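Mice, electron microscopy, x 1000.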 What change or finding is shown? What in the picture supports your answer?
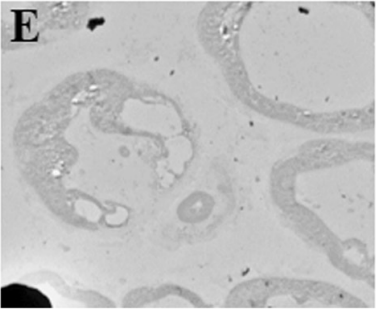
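Abnormal myelination. One sheath is irregular and folded, with clear vacuoles inside it.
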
